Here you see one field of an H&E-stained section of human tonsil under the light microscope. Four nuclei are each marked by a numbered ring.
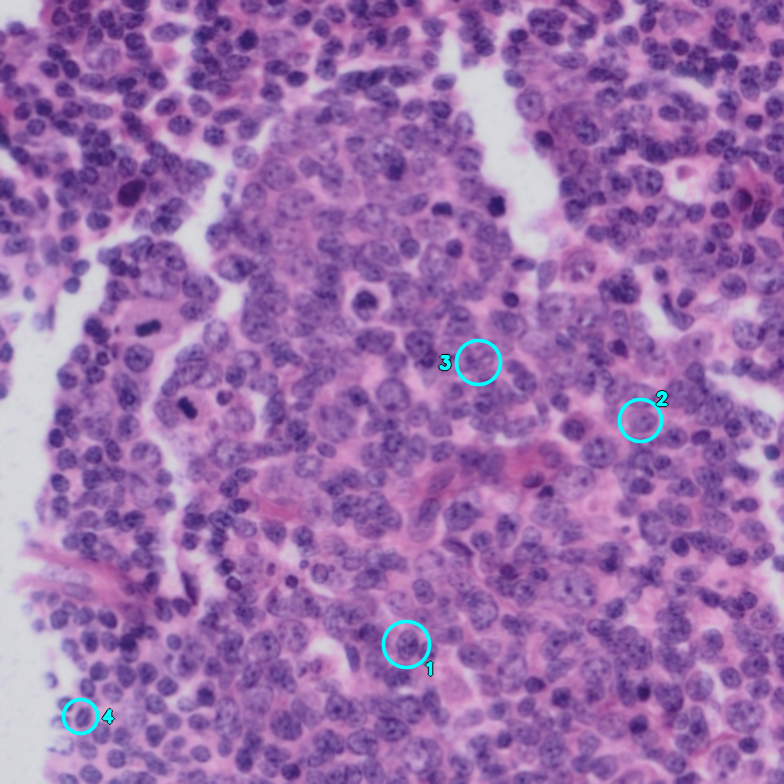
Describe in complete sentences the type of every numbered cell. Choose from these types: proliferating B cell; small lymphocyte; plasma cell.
Cells 1, 2 and 3 are proliferating B cells. Cell 4 is a small lymphocyte.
